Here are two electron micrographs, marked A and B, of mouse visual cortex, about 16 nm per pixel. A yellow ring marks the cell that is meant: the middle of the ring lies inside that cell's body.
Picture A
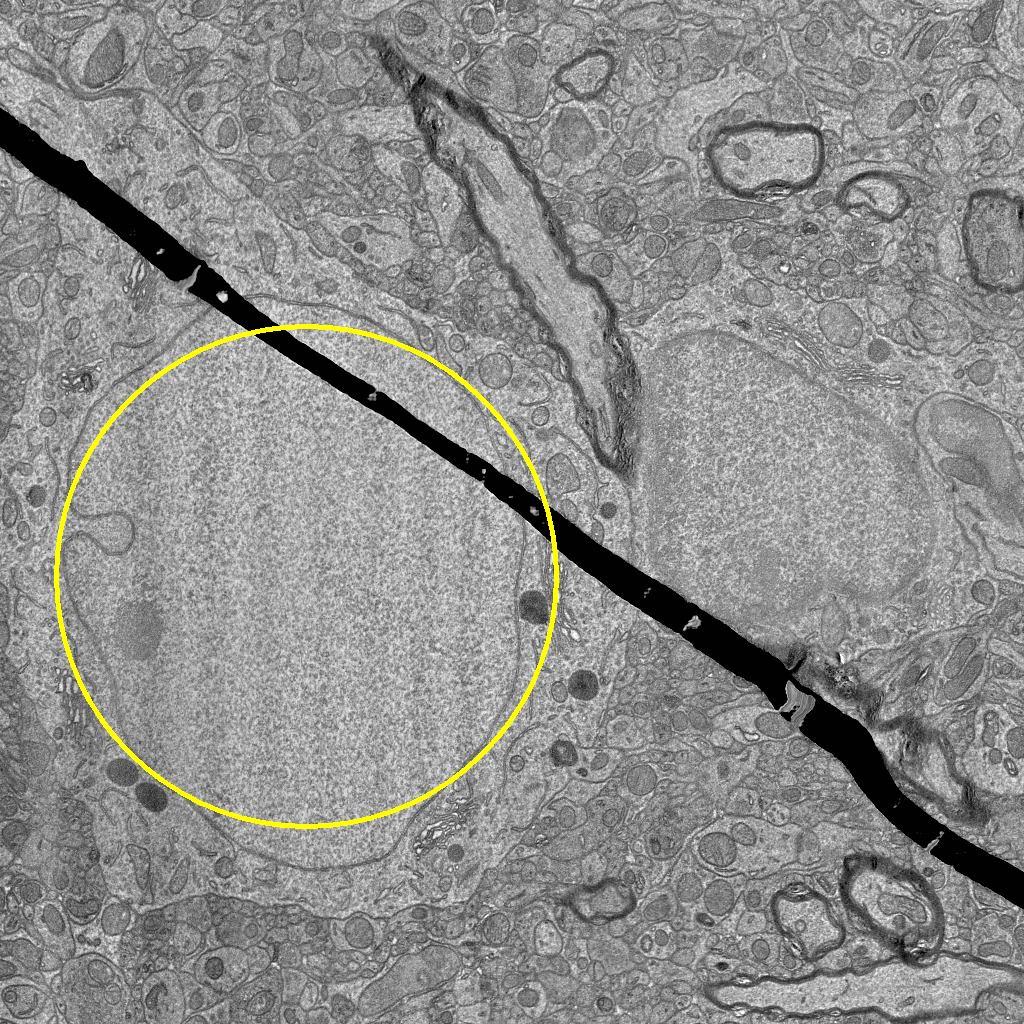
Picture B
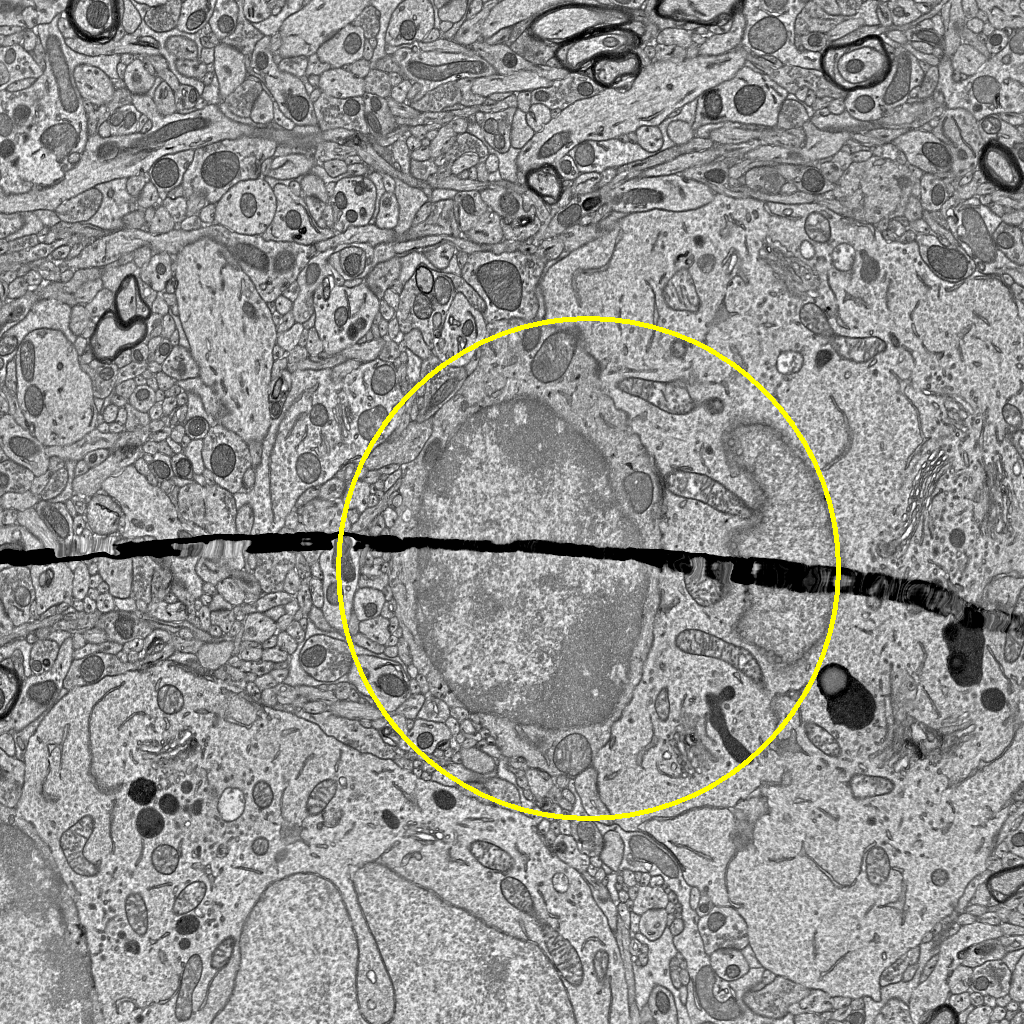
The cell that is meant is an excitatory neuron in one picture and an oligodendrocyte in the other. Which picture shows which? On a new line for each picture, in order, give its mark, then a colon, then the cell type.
A: excitatory neuron
B: oligodendrocyte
